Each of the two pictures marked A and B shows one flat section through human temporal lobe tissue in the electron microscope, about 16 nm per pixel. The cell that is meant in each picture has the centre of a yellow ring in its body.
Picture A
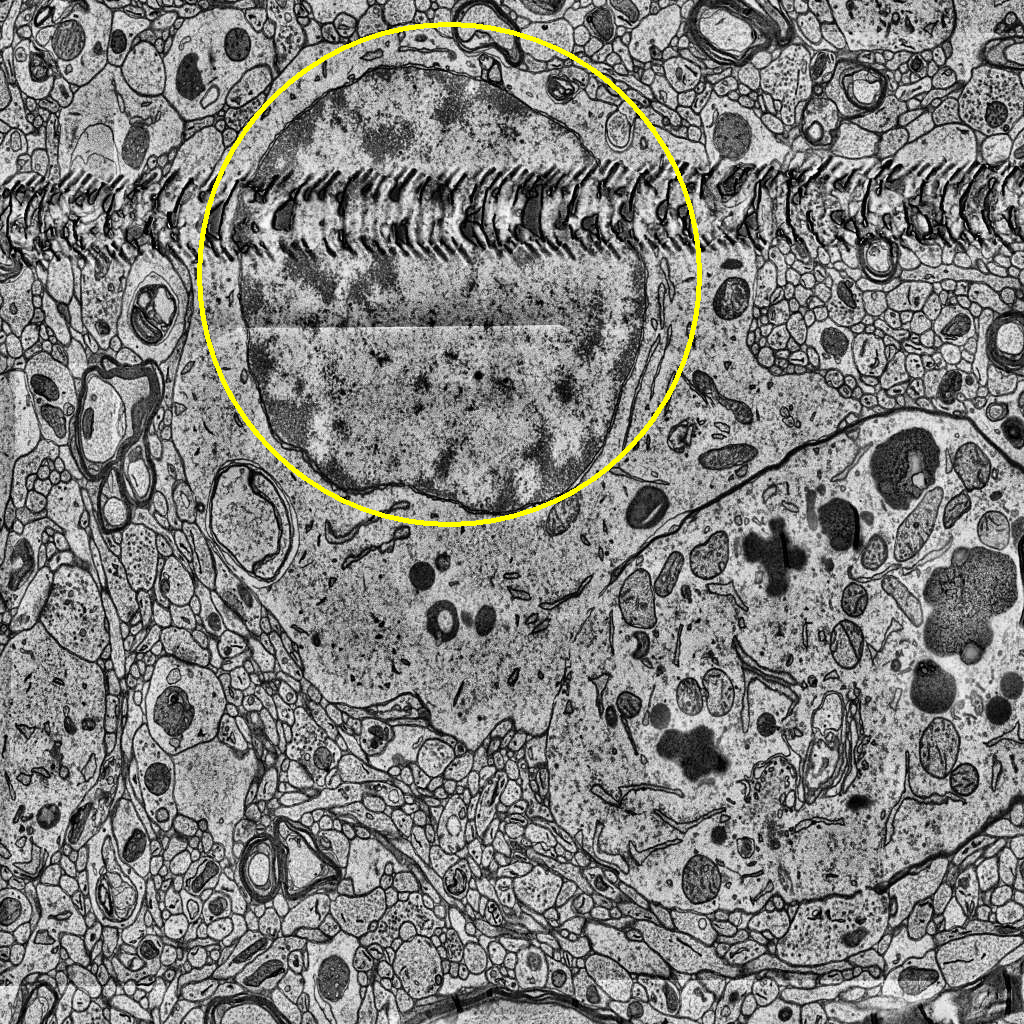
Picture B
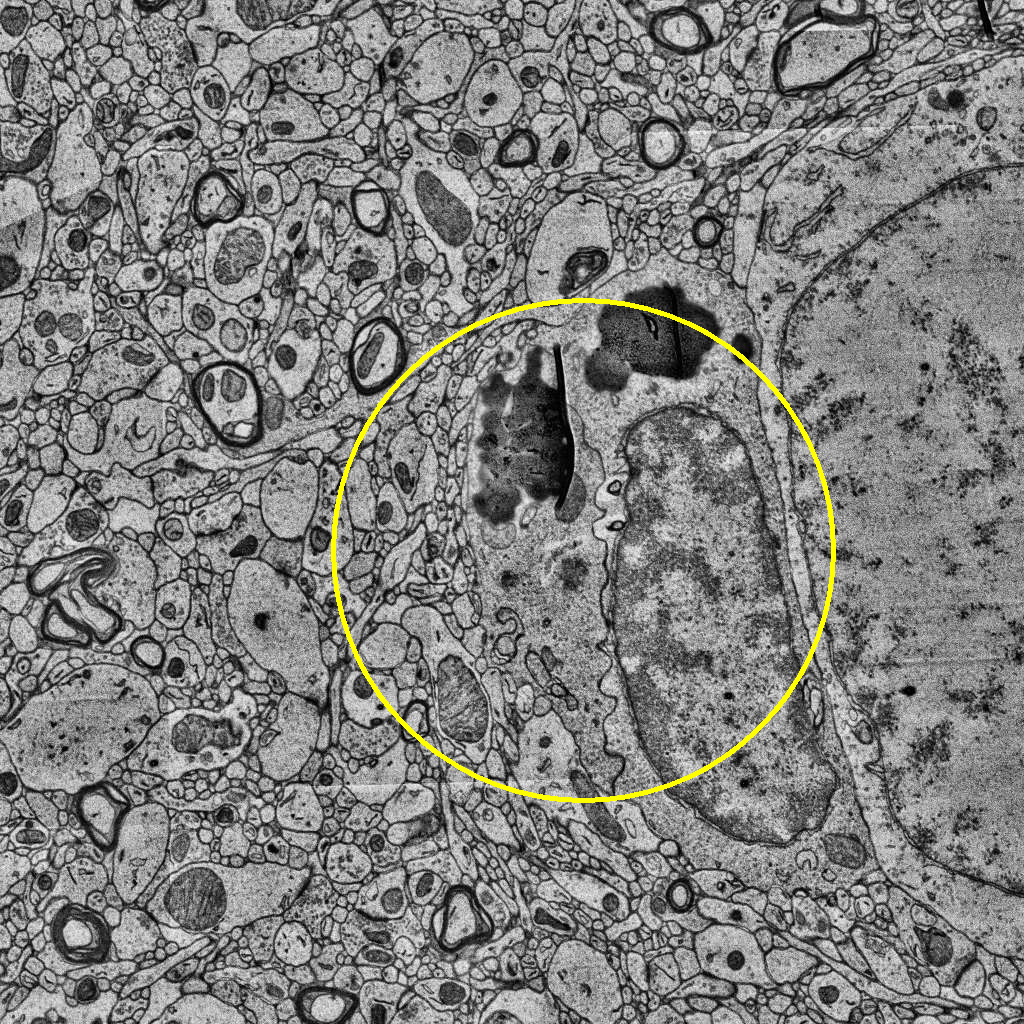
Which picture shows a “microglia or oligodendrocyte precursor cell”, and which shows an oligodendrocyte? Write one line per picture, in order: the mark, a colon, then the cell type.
A: microglia or oligodendrocyte precursor cell
B: oligodendrocyte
